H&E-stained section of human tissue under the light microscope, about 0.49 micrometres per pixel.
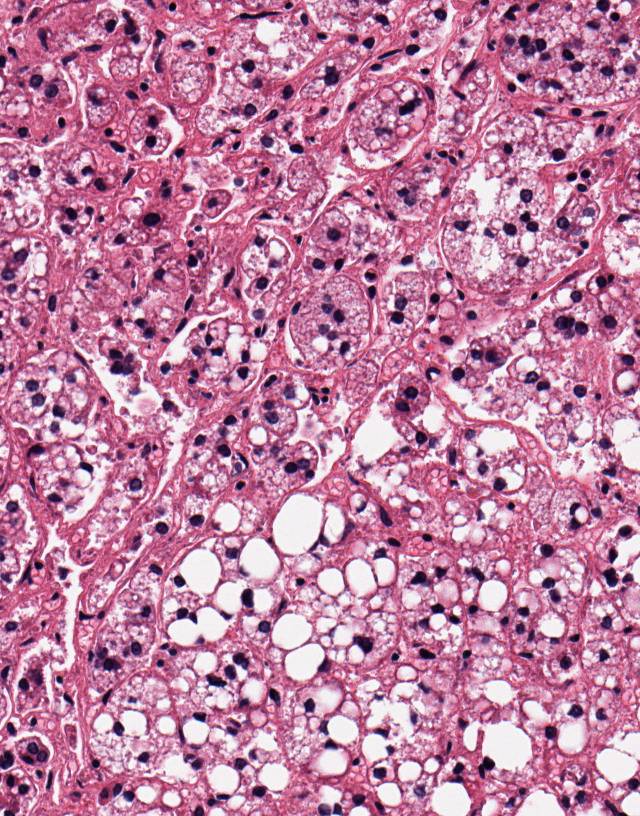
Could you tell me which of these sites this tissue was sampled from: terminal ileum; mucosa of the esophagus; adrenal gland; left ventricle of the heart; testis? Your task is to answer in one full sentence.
The sample on this slide was obtained from the adrenal gland.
